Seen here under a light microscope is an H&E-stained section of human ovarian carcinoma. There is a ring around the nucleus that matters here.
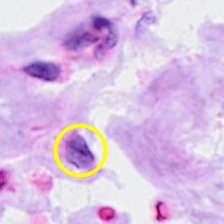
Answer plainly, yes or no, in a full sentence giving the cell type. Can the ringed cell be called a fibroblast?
Yes, the ringed cell in this field is a fibroblast.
